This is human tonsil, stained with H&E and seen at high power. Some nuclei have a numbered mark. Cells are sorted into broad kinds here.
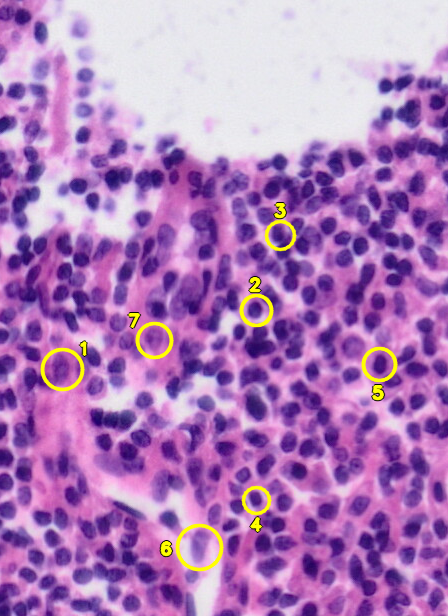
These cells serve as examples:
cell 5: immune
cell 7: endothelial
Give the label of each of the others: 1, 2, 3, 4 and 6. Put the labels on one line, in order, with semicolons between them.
endothelial; immune; immune; immune; endothelial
